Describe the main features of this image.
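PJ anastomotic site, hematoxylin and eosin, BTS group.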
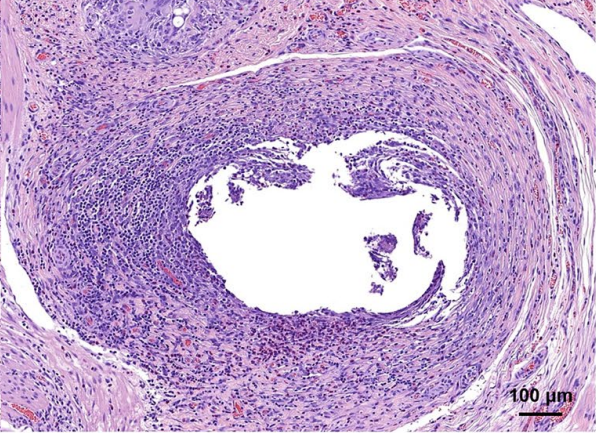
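The lumen is rimmed by a thick band crowded with small, dark purple, round nuclei. Outside this band, elongated spindle-shaped nuclei lie in concentric, wavy layers of pink-staining tissue wrapping around the lumen. Small vessels with red blood cells are scattered in the wall. Clefts separate the outer concentric layers from the surrounding pink tissue.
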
